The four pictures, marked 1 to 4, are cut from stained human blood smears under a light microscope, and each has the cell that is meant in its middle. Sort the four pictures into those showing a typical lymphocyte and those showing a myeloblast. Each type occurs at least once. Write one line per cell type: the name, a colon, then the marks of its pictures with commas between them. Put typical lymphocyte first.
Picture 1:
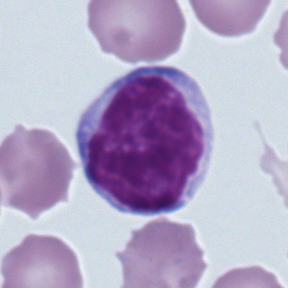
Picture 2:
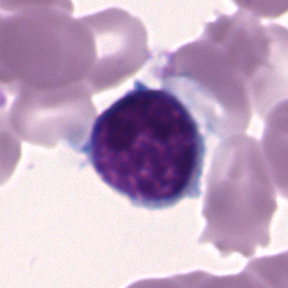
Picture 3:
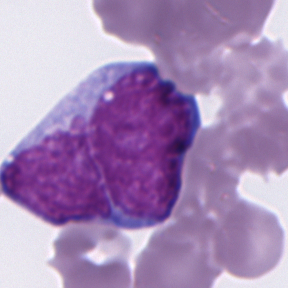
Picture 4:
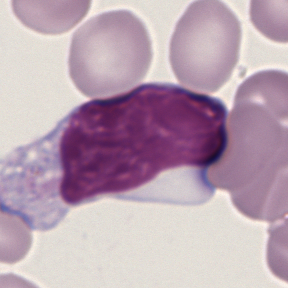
typical lymphocyte: 1, 2, 4
myeloblast: 3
